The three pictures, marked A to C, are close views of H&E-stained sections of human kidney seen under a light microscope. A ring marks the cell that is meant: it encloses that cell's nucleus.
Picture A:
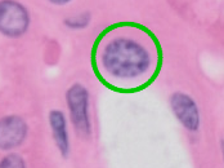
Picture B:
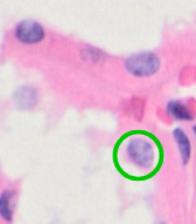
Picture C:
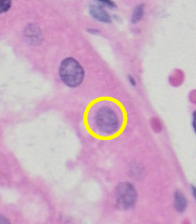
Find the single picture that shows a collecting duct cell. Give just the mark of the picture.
A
